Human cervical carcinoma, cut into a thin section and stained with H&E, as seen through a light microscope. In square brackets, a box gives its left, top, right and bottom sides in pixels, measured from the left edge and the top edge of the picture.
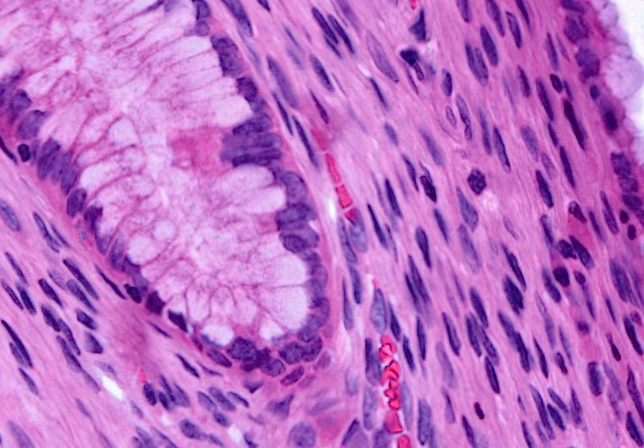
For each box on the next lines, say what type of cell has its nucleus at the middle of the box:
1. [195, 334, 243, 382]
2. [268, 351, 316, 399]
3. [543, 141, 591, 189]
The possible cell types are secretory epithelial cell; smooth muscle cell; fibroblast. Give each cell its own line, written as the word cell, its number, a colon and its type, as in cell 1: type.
cell 1: secretory epithelial cell
cell 2: secretory epithelial cell
cell 3: fibroblast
